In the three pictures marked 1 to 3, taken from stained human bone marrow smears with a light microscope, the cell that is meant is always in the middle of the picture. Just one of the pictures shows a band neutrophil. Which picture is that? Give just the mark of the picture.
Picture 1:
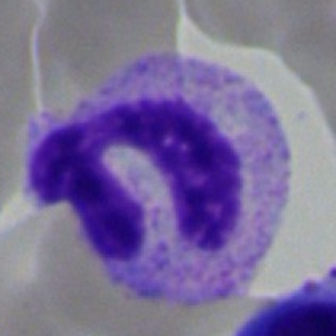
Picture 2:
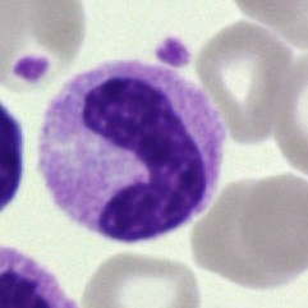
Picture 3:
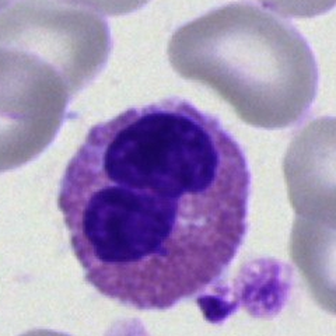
2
